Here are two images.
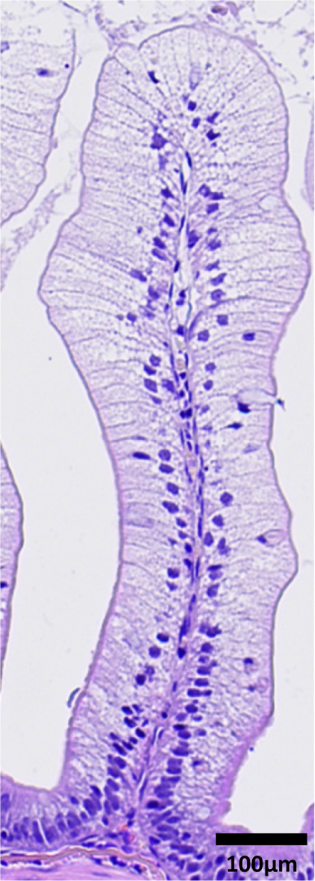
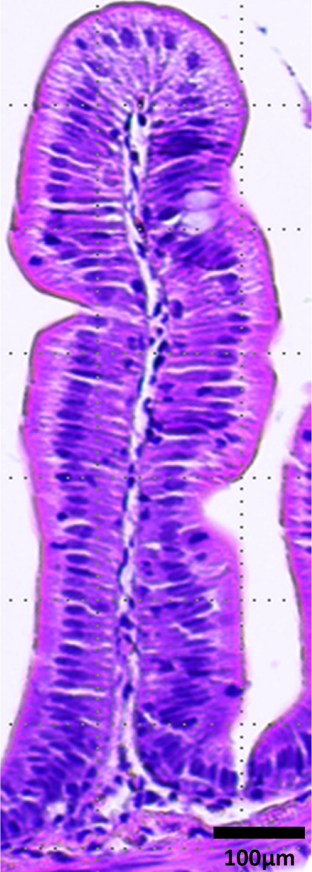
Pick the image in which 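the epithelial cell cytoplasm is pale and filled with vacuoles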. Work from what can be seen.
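Second image: the epithelial cytoplasm is densely stained purple-pink with little clearing. First image: the epithelial cytoplasm is pale and foamy with fine vacuoles throughout. So: the first image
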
